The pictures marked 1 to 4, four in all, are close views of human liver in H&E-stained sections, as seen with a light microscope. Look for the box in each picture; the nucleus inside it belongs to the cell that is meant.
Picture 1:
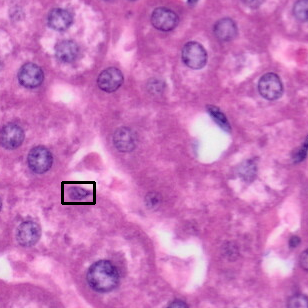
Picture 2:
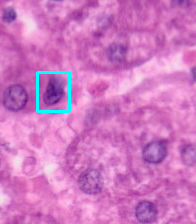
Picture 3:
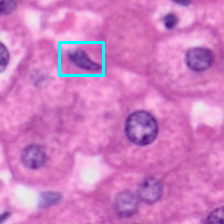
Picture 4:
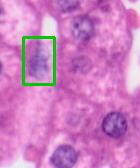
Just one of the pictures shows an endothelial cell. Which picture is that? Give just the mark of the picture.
4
